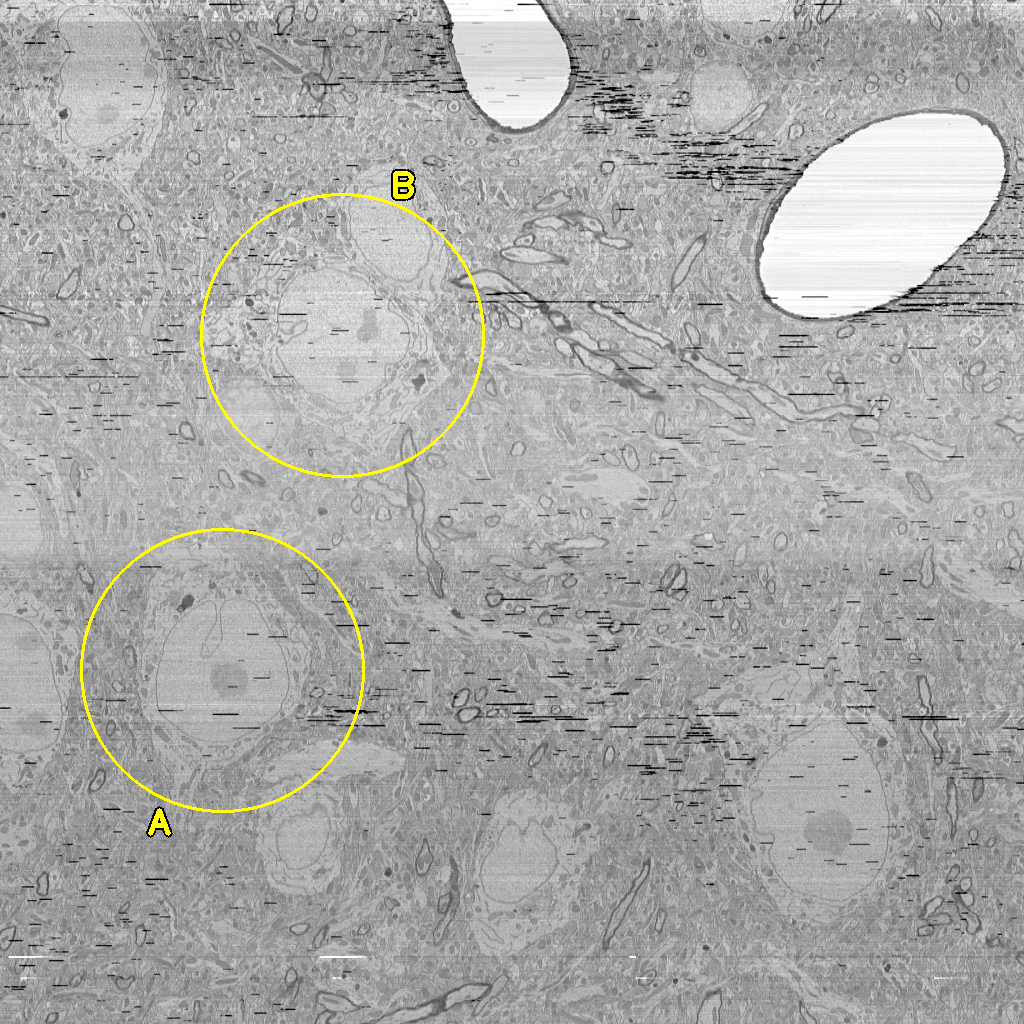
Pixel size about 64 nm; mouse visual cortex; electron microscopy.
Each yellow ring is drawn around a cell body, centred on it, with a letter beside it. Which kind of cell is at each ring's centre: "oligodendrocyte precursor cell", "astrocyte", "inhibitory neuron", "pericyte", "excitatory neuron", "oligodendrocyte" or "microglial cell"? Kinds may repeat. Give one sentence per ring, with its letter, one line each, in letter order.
Ring A is centred on an excitatory neuron.
Ring B is centred on an inhibitory neuron.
